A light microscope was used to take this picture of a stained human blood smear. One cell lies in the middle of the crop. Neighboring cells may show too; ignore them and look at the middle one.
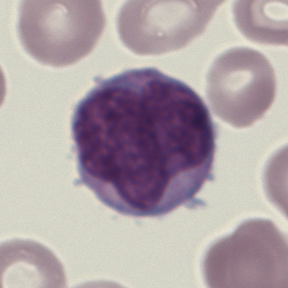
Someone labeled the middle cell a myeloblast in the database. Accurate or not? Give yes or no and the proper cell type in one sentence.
No, what occupies the middle of the crop is an atypical promyelocyte and not a myeloblast.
